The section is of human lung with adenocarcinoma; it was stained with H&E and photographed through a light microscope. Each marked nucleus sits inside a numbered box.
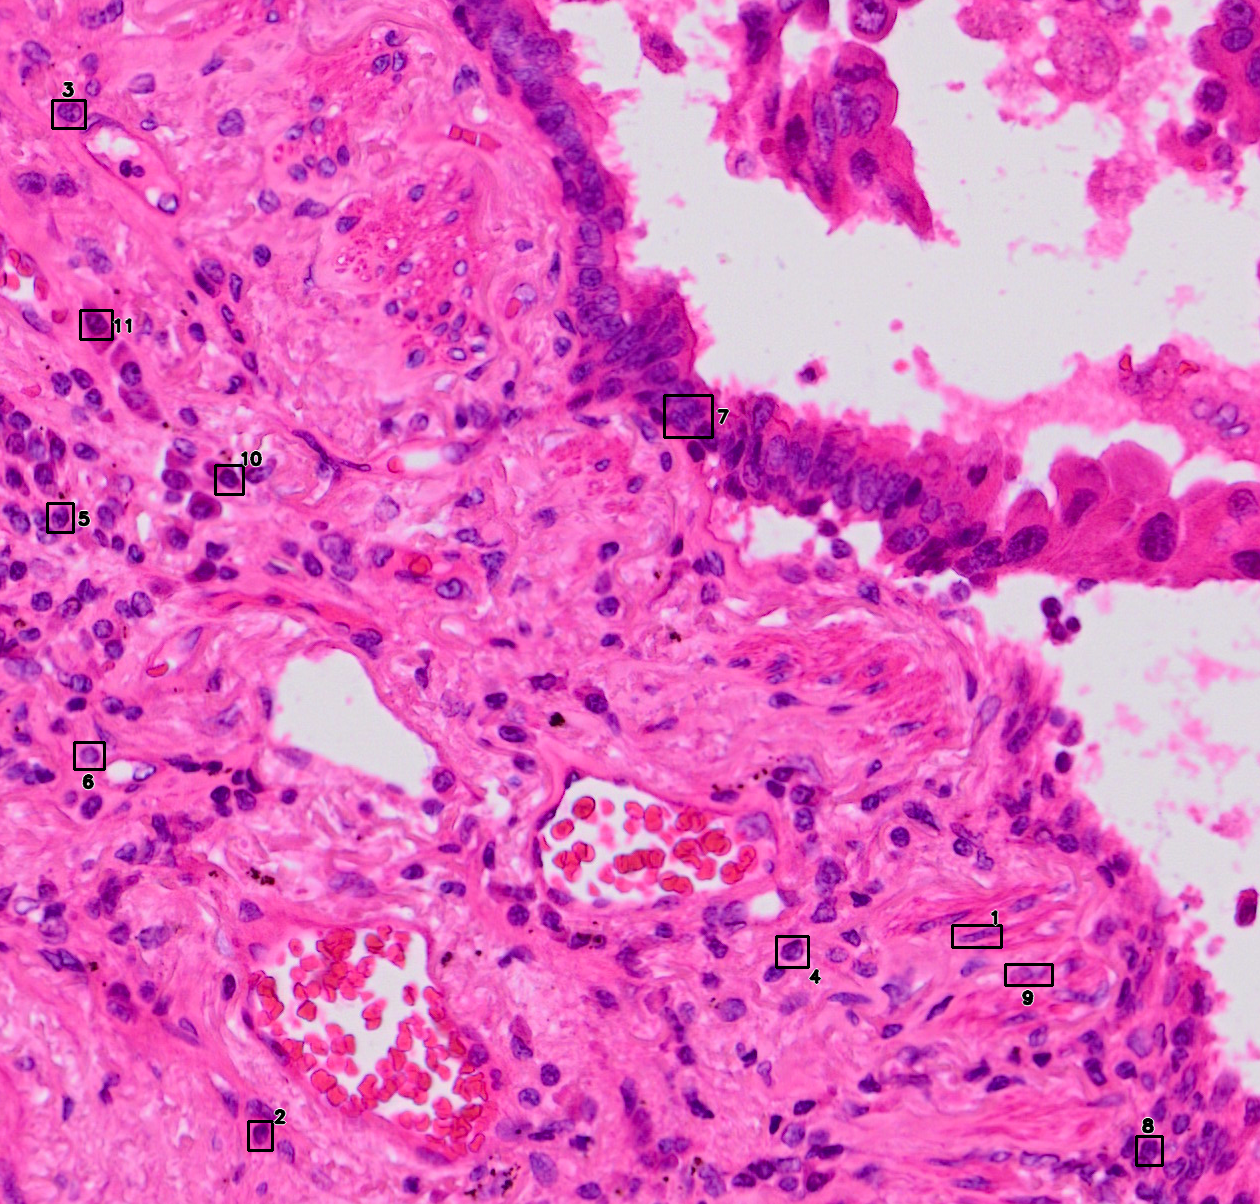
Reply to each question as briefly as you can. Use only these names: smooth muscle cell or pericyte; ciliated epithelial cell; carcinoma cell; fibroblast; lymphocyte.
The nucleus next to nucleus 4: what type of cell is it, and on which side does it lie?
a lymphocyte; below and to the left of nucleus 4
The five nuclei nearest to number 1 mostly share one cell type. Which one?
smooth muscle cell or pericyte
